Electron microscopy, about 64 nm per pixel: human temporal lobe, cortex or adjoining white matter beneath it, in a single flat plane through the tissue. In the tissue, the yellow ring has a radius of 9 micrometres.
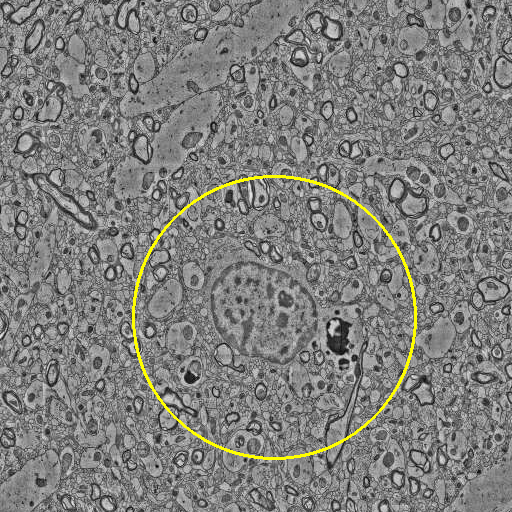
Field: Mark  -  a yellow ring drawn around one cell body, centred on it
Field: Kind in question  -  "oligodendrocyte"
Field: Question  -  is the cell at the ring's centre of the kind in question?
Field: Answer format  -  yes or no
yes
